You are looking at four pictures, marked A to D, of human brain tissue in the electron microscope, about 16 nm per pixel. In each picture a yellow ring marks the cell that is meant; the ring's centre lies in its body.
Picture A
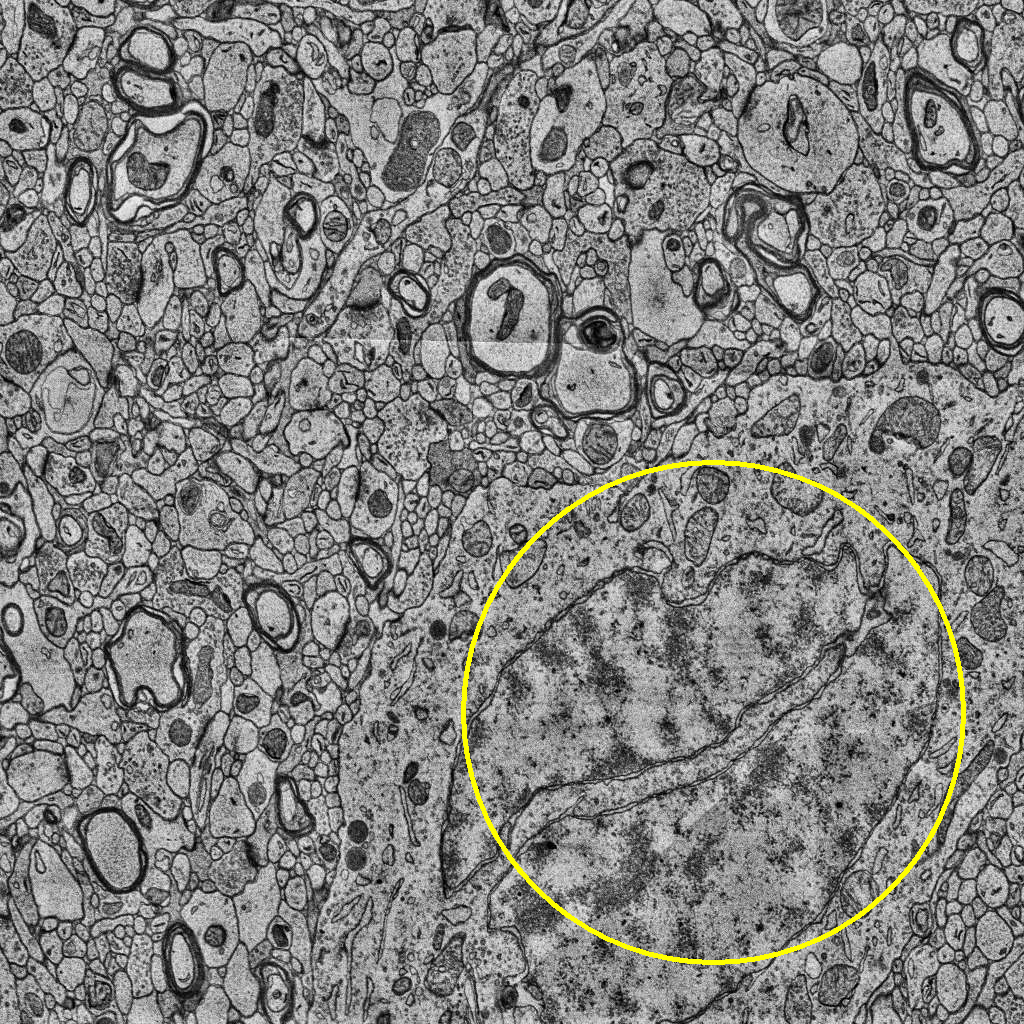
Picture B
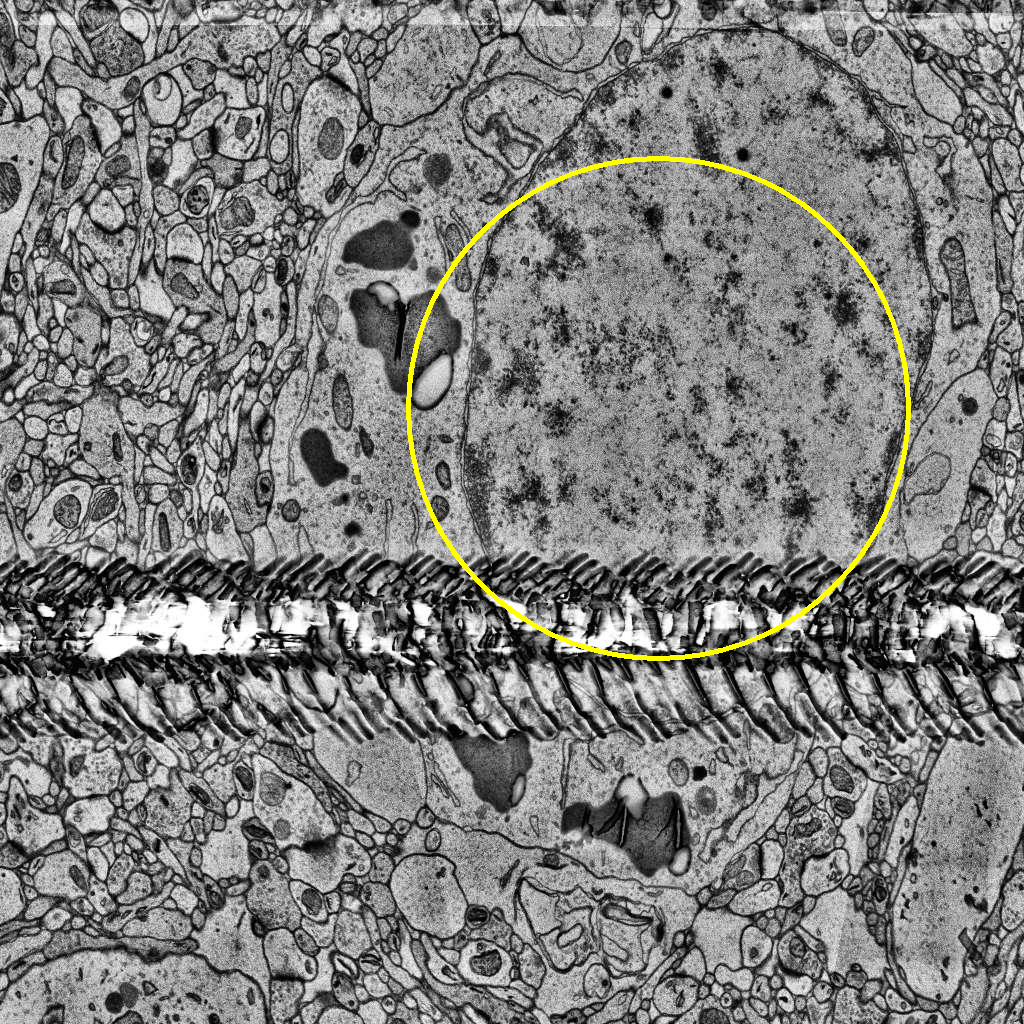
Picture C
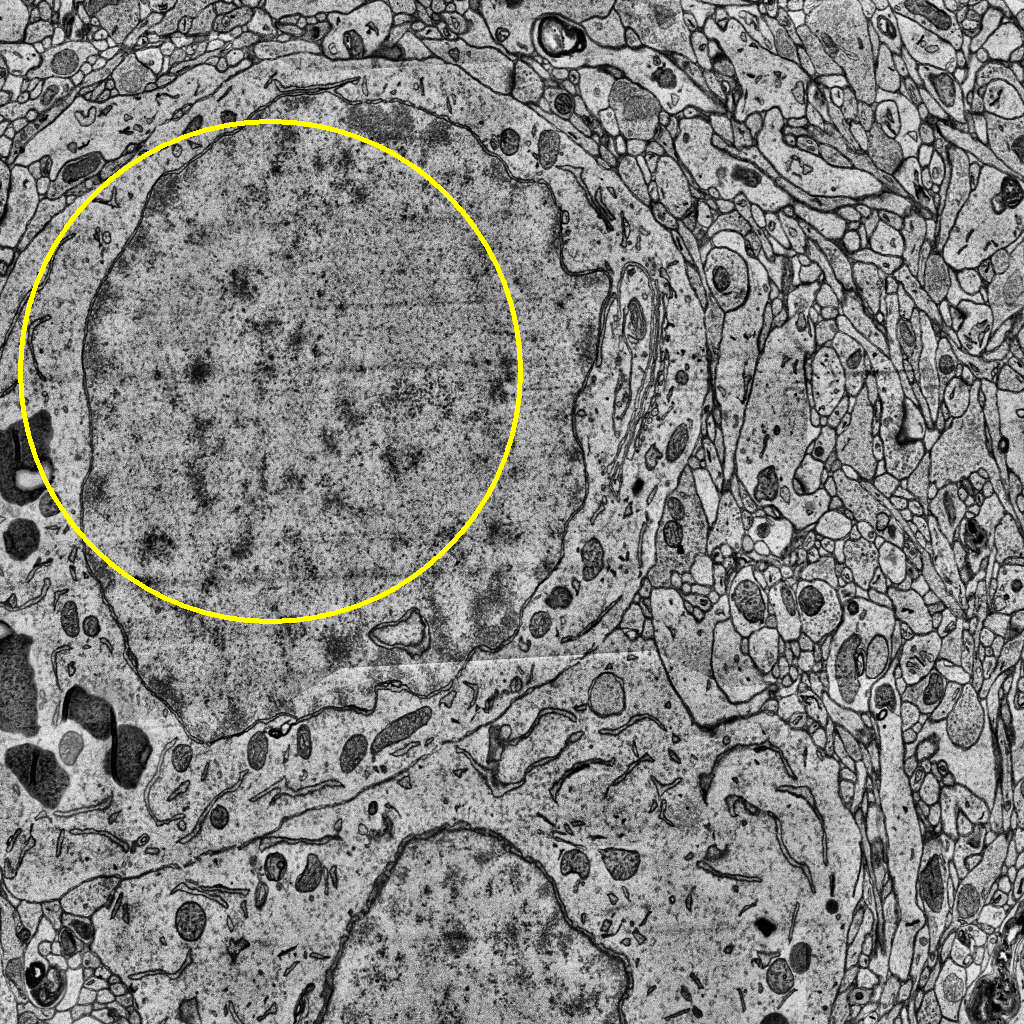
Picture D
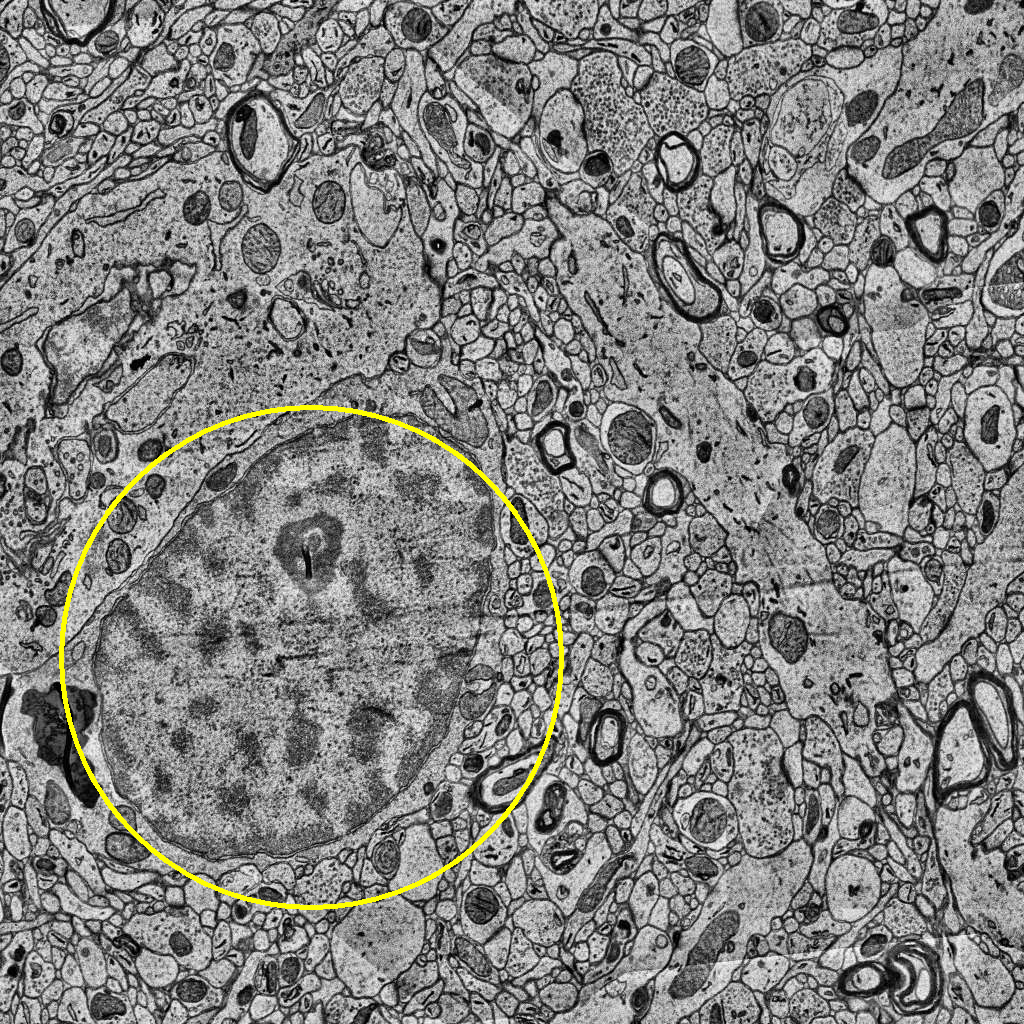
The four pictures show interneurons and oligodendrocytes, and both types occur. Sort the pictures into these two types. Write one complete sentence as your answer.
Pictures A, B and C show interneurons; picture D shows an oligodendrocyte.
